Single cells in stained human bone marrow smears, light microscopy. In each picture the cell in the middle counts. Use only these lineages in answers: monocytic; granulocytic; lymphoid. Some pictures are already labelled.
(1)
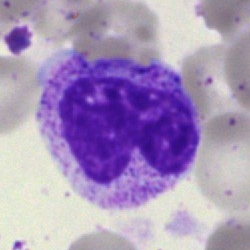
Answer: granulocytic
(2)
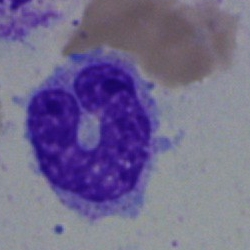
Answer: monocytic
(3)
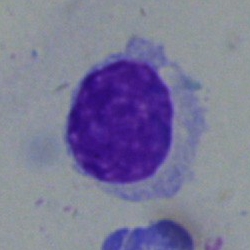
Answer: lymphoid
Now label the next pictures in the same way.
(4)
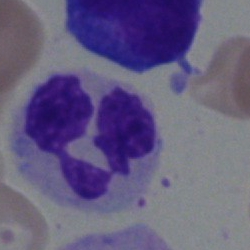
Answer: granulocytic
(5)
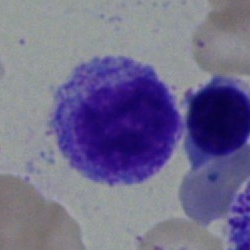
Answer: granulocytic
